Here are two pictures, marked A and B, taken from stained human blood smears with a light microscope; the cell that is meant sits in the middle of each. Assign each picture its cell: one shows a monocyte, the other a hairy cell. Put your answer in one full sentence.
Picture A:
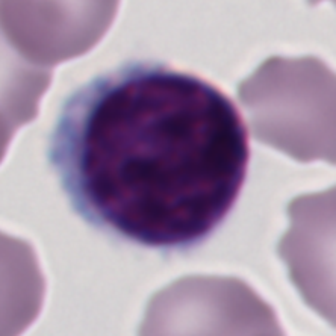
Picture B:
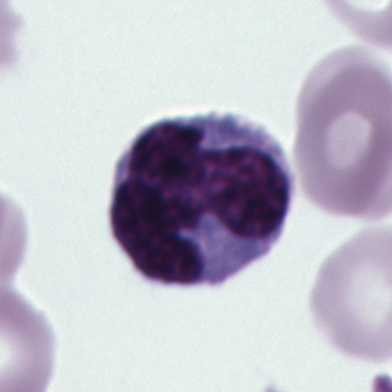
Picture B shows a monocyte, while picture A shows a hairy cell.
